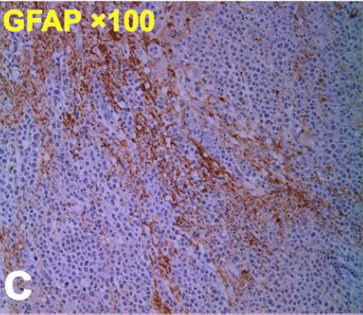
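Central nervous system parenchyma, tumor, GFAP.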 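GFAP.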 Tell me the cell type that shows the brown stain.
Residual neuroglia.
